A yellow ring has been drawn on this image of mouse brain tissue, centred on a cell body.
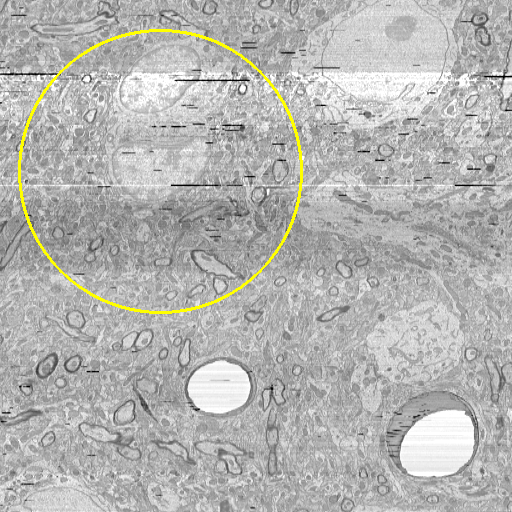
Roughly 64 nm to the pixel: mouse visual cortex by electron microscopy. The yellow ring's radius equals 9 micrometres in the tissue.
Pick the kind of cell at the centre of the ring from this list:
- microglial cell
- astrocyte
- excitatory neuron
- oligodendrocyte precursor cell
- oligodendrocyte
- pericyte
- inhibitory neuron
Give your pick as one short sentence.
The centre of the ring holds an oligodendrocyte.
